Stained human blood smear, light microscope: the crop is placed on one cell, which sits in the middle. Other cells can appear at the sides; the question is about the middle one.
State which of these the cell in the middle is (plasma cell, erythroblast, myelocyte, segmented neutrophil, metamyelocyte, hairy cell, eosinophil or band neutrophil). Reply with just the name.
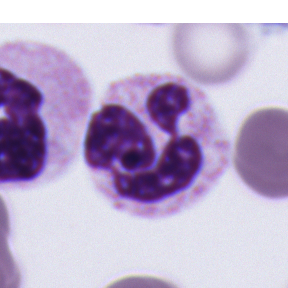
segmented neutrophil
